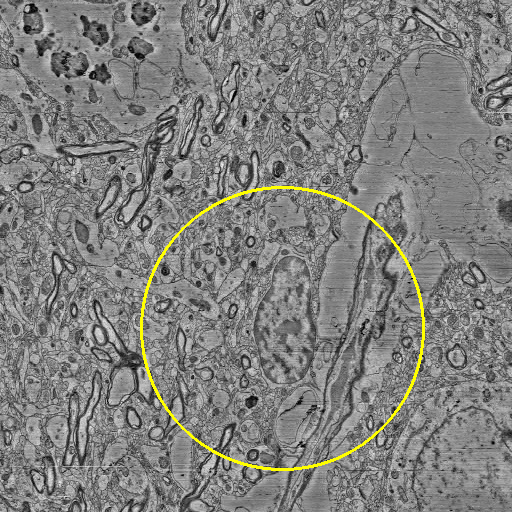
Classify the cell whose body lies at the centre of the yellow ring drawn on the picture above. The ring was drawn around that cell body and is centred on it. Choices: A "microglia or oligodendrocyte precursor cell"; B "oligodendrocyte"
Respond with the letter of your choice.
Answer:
A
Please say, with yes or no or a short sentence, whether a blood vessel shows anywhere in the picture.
Yes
